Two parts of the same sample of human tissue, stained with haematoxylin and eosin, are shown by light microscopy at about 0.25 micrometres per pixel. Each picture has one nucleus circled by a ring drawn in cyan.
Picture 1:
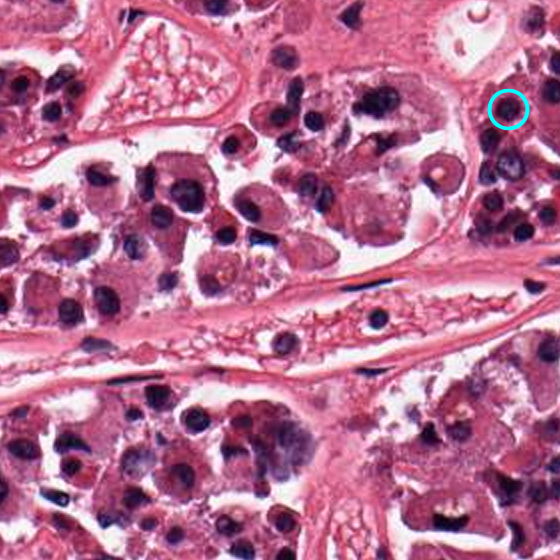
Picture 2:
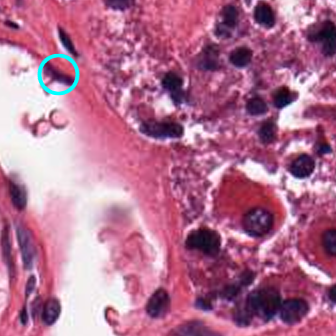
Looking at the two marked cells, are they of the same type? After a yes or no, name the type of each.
No, the first is an anterior pituitary cell and the second an endothelial cell.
